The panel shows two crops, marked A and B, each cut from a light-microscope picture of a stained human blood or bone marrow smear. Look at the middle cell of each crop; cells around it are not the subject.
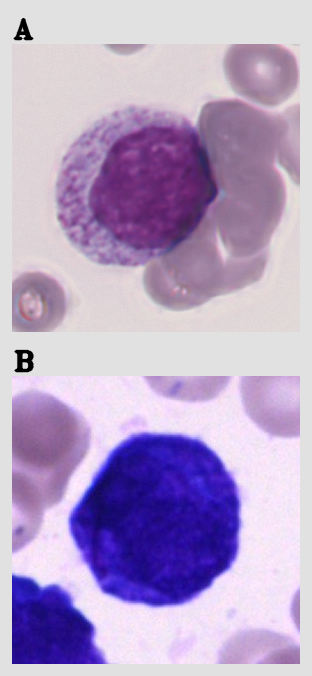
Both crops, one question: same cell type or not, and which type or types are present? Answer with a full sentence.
No, crop A shows a myelocyte, with a blast shown in crop B.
